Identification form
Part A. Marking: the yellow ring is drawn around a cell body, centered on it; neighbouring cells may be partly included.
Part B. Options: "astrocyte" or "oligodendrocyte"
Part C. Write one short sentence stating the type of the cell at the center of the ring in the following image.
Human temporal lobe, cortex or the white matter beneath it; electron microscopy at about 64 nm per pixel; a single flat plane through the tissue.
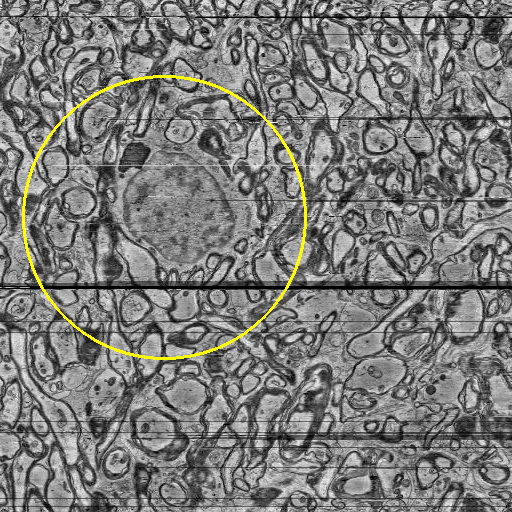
The center of the ring holds an oligodendrocyte.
